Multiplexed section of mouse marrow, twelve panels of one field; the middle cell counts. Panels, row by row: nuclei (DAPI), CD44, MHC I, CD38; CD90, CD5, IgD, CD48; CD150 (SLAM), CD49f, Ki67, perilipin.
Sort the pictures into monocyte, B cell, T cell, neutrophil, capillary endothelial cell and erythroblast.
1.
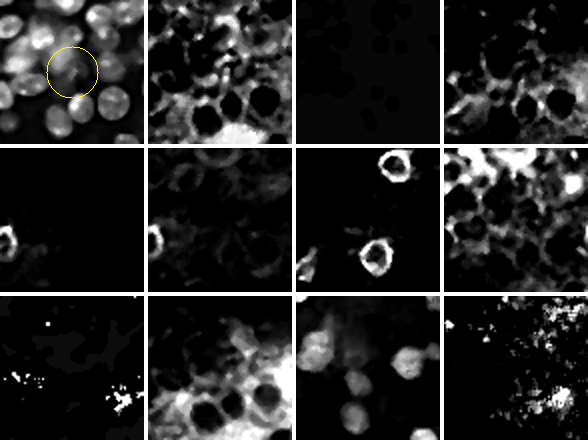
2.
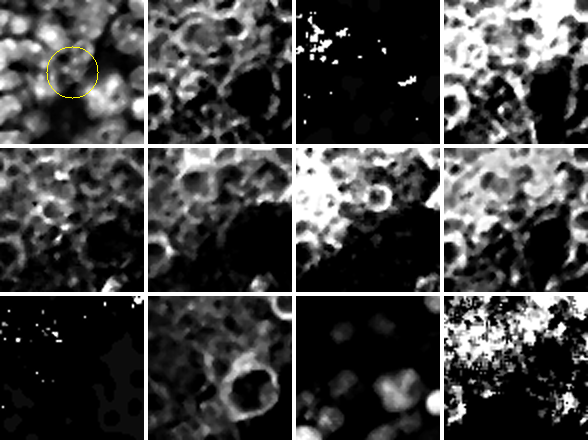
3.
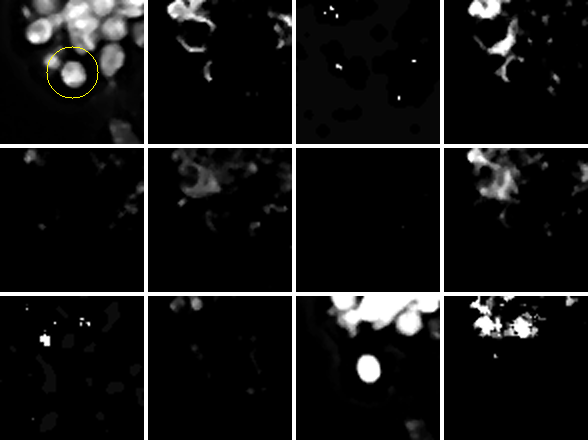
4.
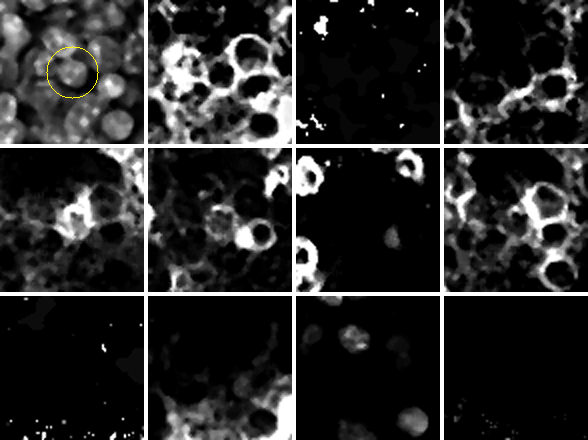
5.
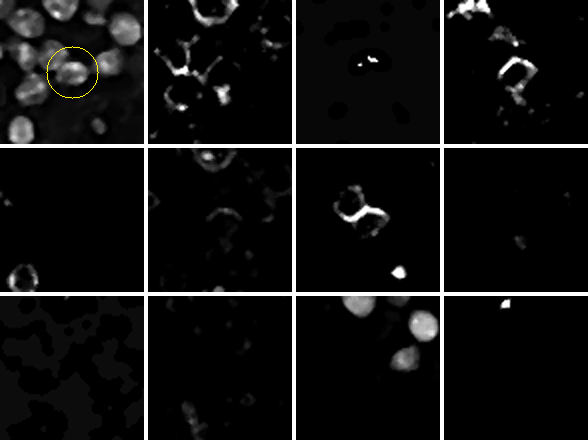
Neutrophils: 1
Capillary endothelial cells: 2
Erythroblasts: 3
T cells: 4
B cells: 5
